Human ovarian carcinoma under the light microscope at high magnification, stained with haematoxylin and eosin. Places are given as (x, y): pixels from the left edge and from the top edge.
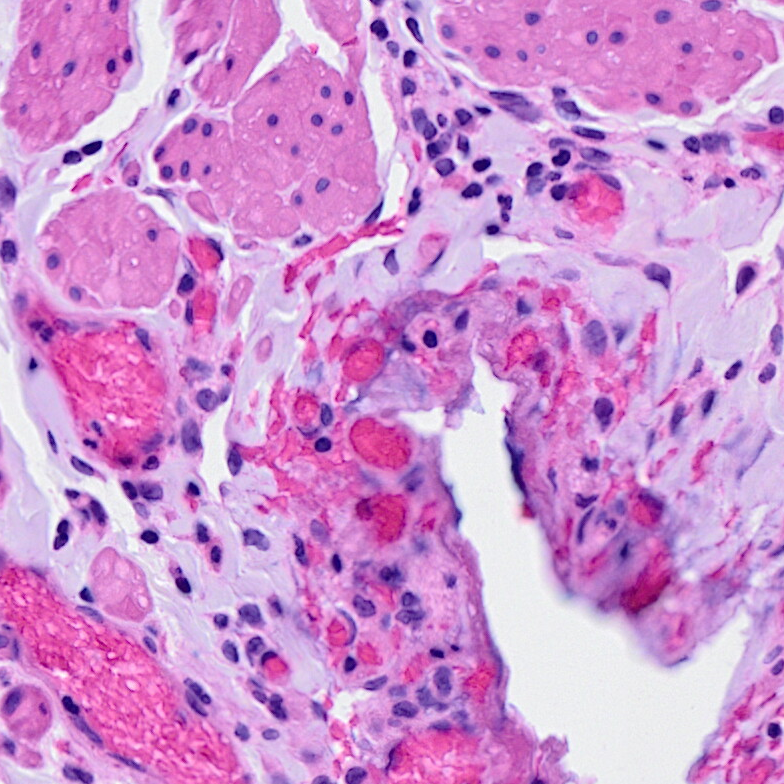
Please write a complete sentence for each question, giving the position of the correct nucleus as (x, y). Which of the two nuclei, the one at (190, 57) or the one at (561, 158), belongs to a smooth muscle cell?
The nucleus at (190, 57) is housed in a smooth muscle cell.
